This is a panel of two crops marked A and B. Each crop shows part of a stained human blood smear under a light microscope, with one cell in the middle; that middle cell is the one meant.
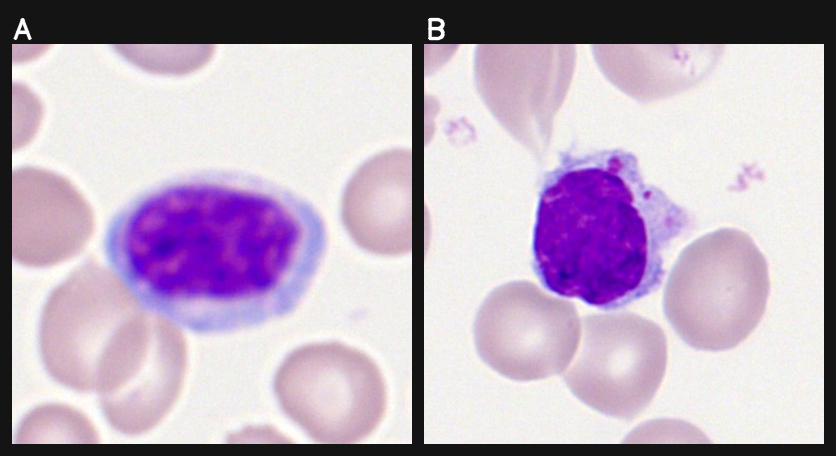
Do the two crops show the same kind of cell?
yes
